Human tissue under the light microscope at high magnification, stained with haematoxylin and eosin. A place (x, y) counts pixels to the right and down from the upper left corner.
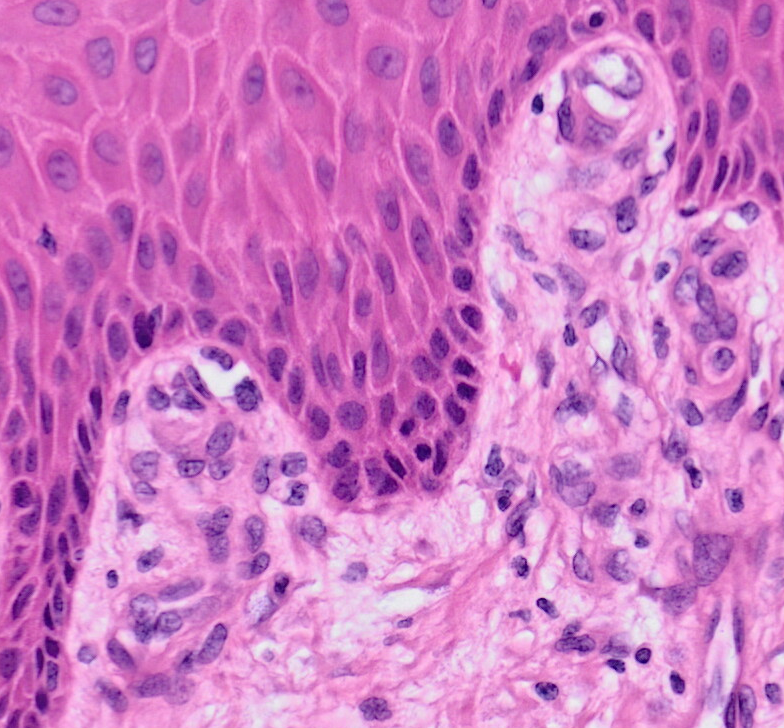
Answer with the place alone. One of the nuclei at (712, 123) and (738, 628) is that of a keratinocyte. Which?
(712, 123)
